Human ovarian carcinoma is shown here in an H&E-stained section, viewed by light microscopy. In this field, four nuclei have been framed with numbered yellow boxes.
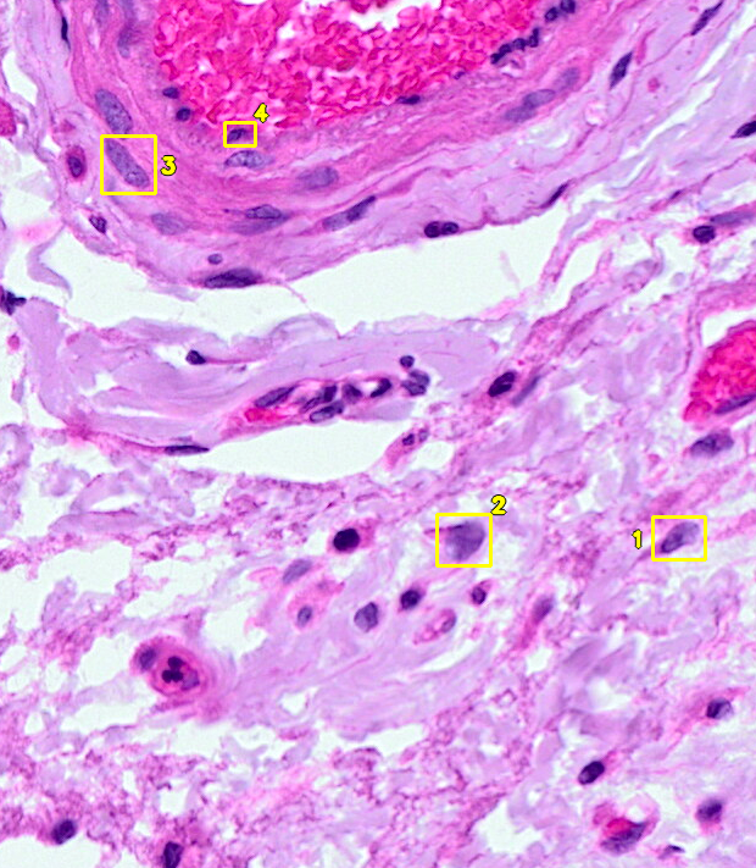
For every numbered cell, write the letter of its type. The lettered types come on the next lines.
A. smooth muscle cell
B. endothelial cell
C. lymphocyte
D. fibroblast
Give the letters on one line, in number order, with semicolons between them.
D; D; A; B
